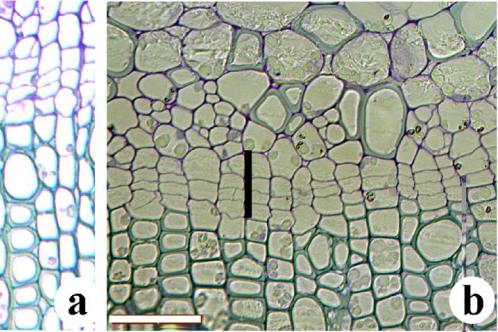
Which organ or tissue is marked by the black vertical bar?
cambial zone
